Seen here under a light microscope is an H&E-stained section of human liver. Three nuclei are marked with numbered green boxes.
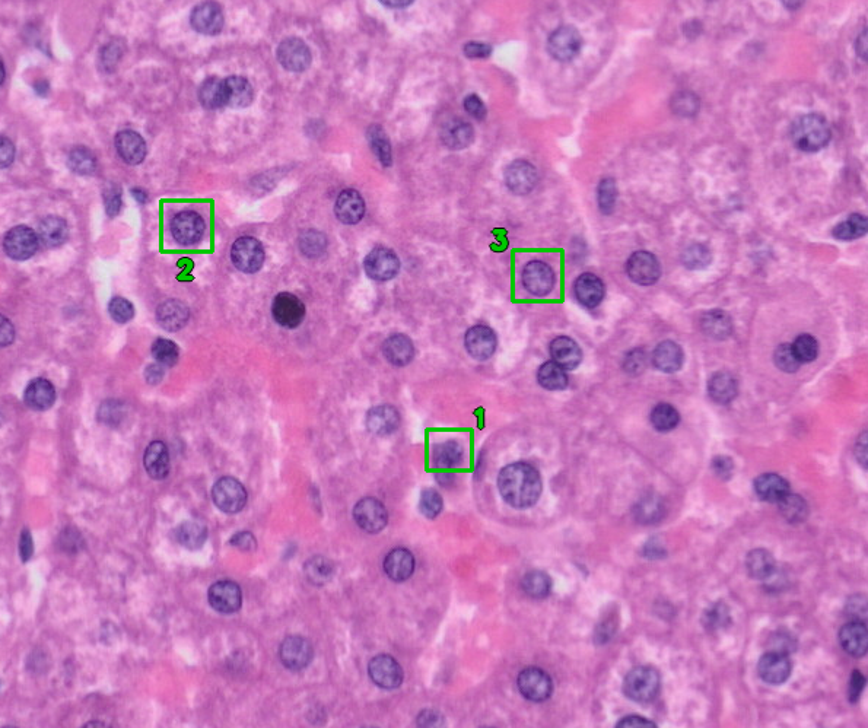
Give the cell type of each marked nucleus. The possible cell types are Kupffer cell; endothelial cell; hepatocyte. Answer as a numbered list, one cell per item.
1. Kupffer cell
2. hepatocyte
3. hepatocyte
